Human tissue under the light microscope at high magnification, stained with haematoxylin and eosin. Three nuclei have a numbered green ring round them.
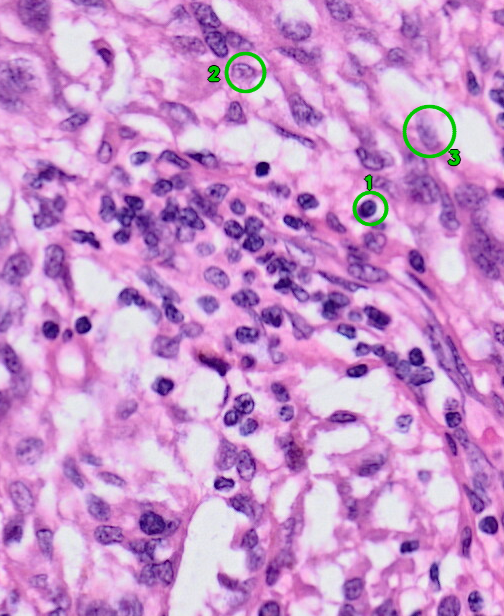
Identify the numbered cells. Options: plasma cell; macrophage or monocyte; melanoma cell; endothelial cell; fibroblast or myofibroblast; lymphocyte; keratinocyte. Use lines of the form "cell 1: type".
cell 1: lymphocyte
cell 2: melanoma cell
cell 3: melanoma cell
